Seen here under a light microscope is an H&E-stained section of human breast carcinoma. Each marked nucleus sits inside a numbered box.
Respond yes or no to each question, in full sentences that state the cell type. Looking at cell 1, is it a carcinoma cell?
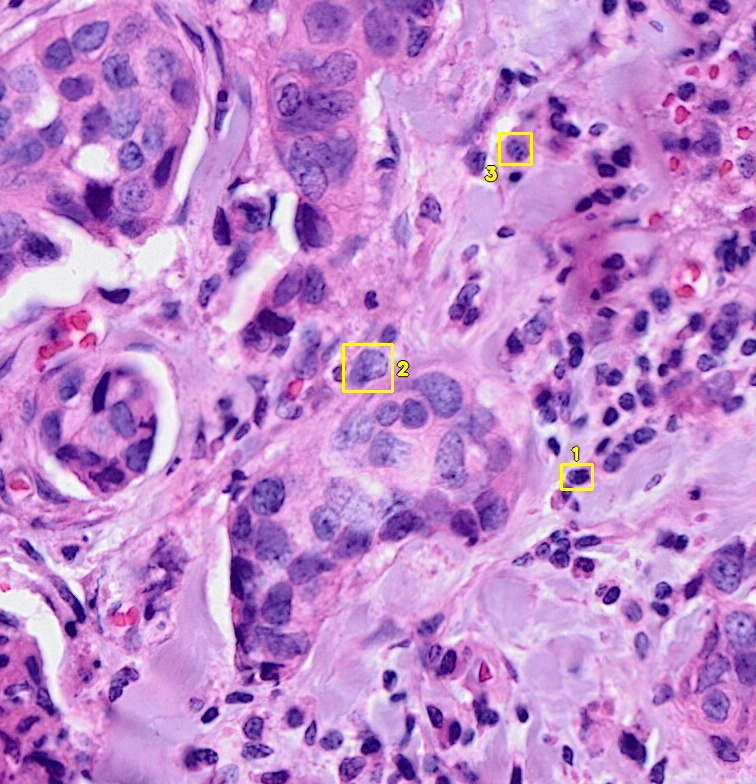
No, cell 1 is to be read as a lymphocyte, not a carcinoma cell.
